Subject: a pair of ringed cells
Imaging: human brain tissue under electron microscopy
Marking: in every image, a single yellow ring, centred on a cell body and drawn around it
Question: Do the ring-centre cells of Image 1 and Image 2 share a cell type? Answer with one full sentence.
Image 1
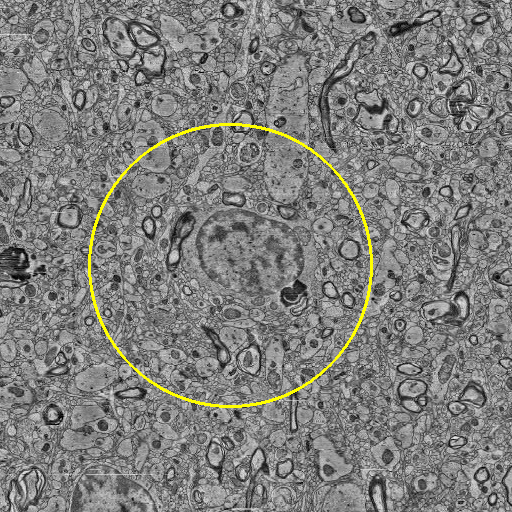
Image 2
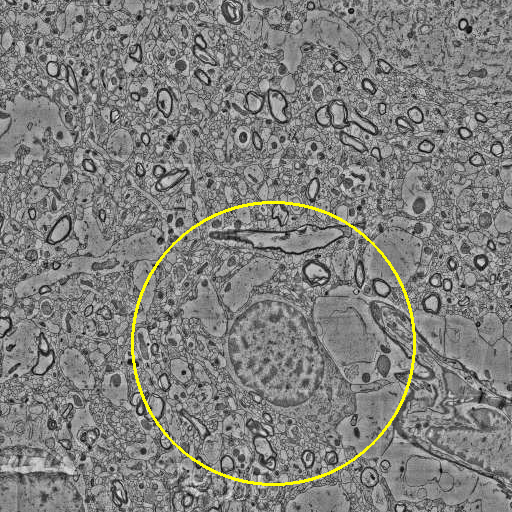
Yes, at each ring's centre in the images sits a cell of one common type.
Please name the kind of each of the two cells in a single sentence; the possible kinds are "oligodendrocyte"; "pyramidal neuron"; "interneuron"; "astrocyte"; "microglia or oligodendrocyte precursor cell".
Each of the ringed cells, first and second, is an oligodendrocyte.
